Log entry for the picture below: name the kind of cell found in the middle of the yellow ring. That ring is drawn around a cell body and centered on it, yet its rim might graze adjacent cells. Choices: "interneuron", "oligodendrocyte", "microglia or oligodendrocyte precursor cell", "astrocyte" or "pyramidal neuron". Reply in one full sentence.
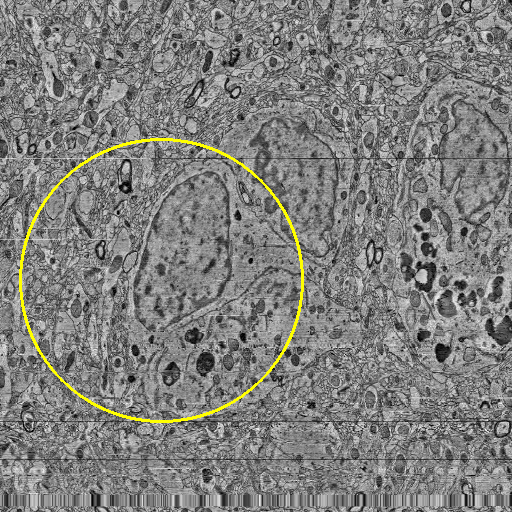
The cell in the middle of the yellow ring in this picture is a microglial cell or oligodendrocyte precursor cell.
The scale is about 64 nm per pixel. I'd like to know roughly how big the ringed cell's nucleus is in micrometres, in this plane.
In this plane the nucleus is clearly longer than it is wide: roughly 11 by 6 micrometres.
